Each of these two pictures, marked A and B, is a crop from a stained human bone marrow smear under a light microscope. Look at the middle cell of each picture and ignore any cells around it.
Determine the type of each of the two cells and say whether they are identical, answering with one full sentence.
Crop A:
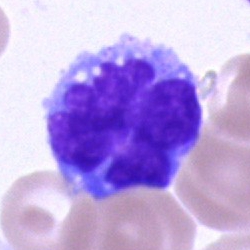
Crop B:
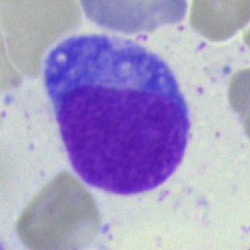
No, crop A presents a monocyte, whereas crop B presents a blast.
